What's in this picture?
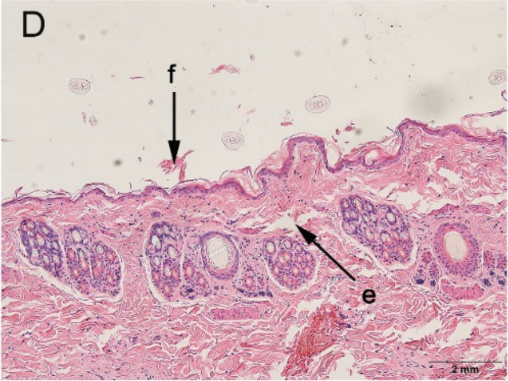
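Section of skin with a thin purple epidermis whose surface is folded and irregular, with small pink flakes lifting from it. The upper dermis shows pale, widened spaces between the pink collagen bundles. Deeper dermis contains dense wavy collagen and a patch of red-staining material at the lower edge.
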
